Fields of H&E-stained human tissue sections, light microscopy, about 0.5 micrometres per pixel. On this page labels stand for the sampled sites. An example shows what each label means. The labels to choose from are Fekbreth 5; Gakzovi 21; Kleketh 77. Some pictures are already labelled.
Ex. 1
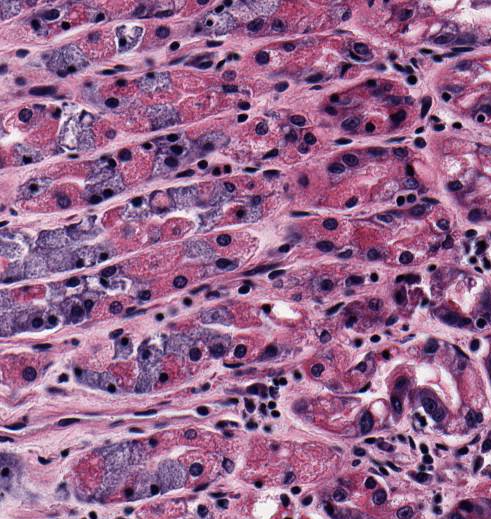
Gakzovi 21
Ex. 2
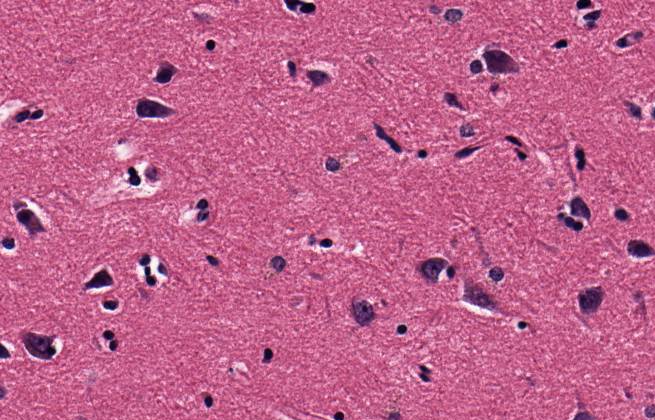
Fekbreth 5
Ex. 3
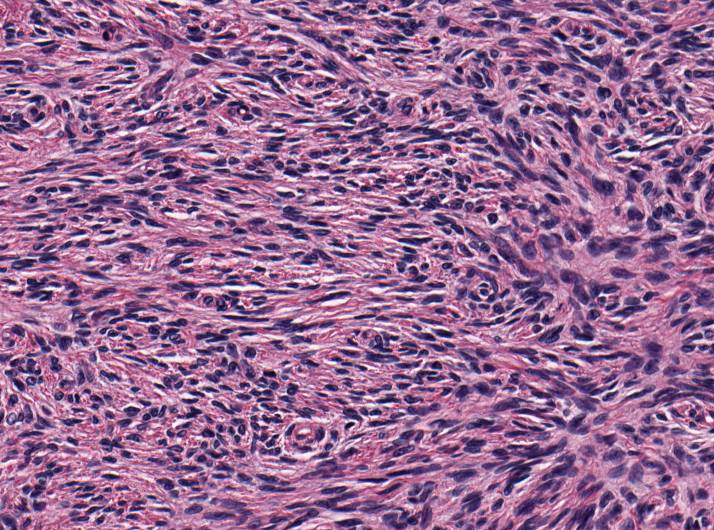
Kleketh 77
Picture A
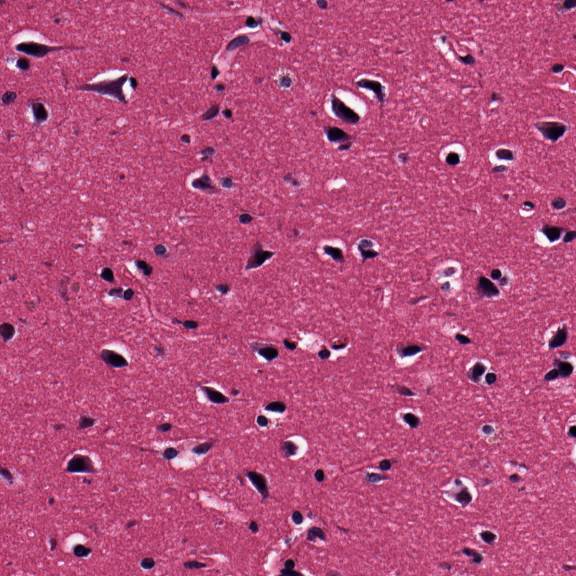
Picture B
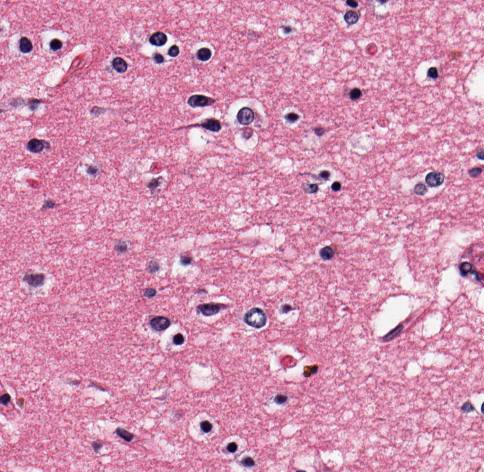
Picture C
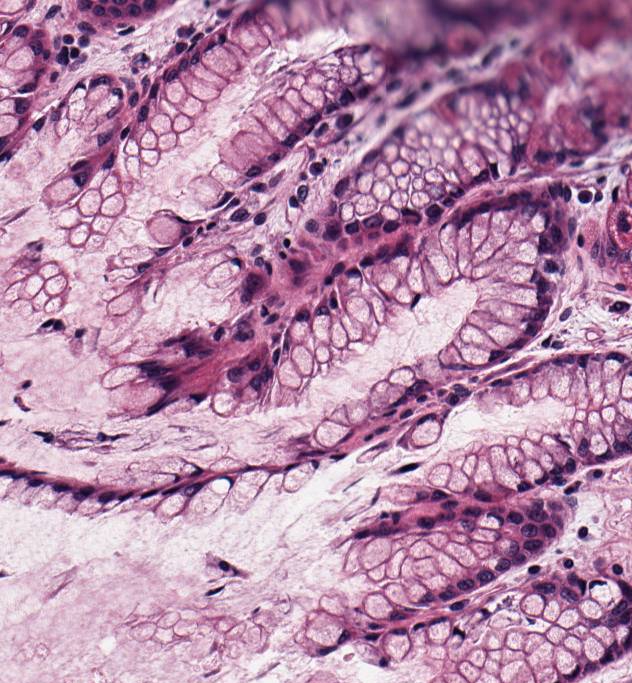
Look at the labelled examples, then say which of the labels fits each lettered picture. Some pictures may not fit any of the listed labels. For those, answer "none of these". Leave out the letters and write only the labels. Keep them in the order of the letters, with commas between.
Fekbreth 5, Fekbreth 5, Gakzovi 21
